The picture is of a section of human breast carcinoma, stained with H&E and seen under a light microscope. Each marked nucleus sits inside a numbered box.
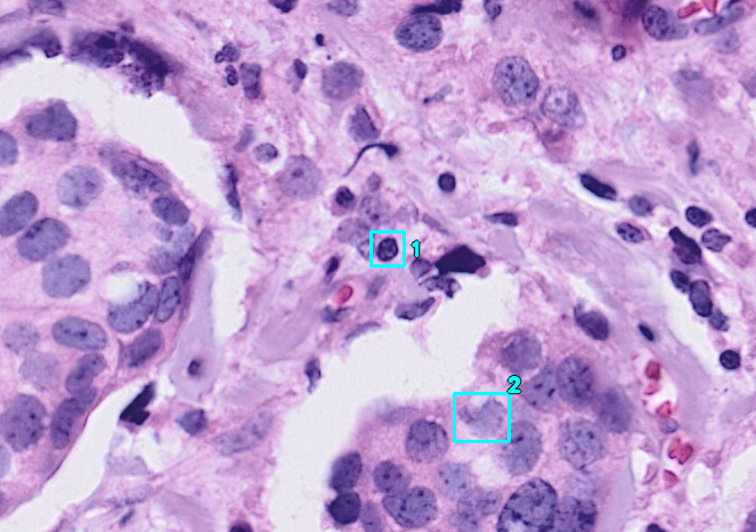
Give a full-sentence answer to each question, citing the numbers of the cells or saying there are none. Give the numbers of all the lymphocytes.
Cell 1 alone, of all the numbered cells, is a lymphocyte.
